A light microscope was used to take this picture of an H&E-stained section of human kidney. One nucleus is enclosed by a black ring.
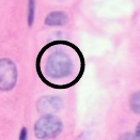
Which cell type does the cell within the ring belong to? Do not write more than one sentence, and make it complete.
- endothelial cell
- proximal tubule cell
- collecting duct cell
On this particular slide, the cell within the ring is a collecting duct cell.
